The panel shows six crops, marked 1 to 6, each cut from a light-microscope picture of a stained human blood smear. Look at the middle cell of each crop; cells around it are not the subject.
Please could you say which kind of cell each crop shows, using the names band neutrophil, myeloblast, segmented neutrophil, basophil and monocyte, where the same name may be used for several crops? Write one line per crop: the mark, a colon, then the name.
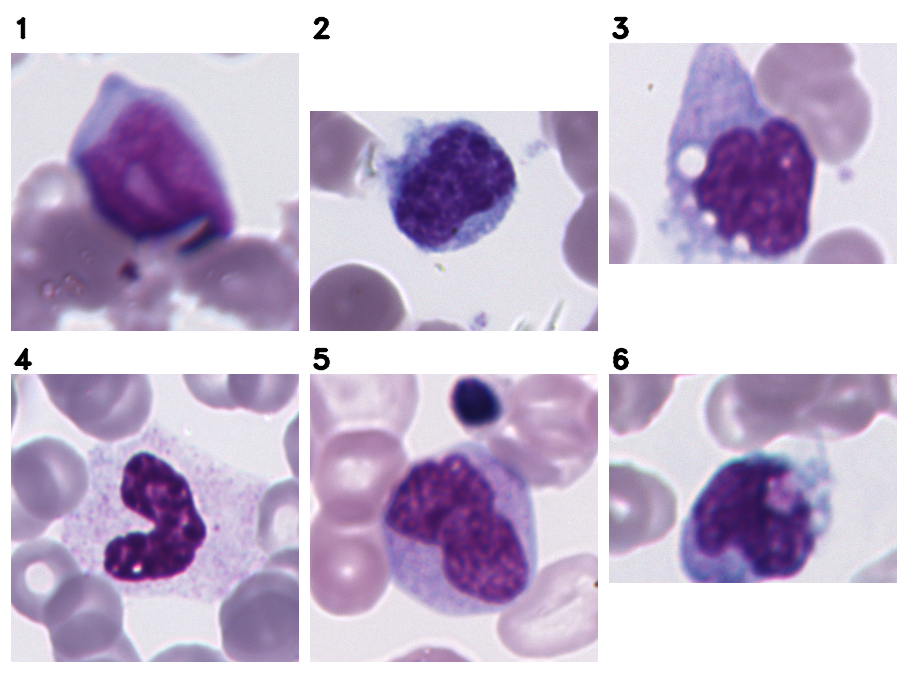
1: myeloblast
2: monocyte
3: monocyte
4: band neutrophil
5: monocyte
6: monocyte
